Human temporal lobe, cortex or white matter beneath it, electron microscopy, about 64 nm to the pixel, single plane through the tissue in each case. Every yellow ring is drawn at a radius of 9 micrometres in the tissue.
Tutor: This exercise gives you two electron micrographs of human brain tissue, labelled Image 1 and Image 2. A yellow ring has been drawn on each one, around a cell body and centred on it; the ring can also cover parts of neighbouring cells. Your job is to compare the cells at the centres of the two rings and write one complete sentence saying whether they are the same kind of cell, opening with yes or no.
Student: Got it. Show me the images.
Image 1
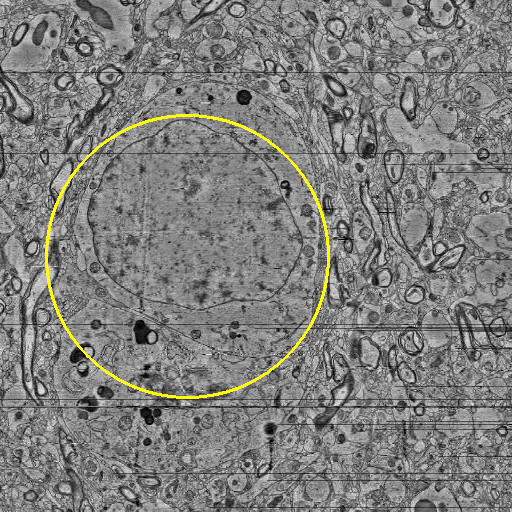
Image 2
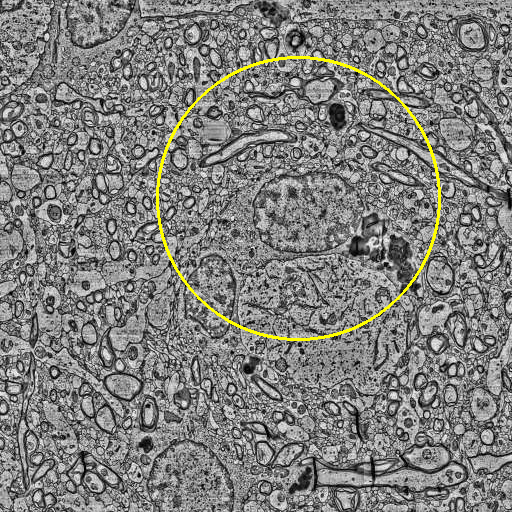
No, the two cells belong to two kinds.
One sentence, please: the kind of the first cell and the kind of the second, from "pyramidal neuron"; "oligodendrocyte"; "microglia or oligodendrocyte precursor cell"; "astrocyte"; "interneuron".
The ring in the first picture surrounds a pyramidal neuron, and the ring in the second surrounds an oligodendrocyte.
